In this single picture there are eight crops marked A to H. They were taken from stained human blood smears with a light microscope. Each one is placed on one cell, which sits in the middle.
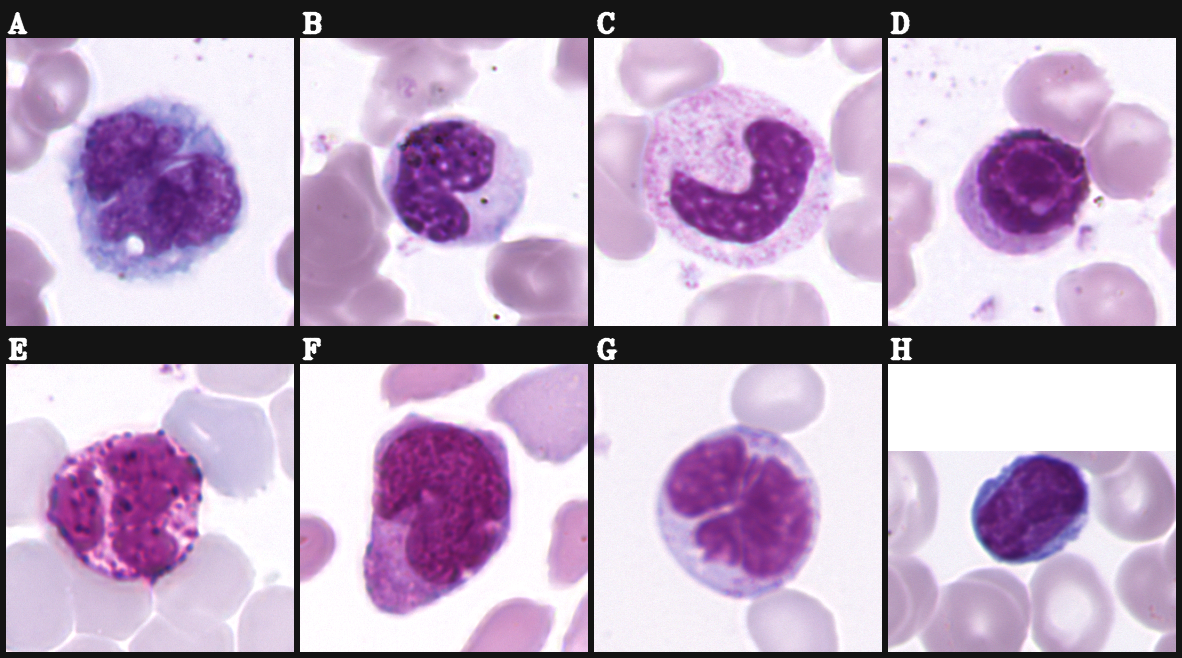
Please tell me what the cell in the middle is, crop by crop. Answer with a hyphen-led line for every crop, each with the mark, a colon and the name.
- A: monocyte
- B: band neutrophil
- C: band neutrophil
- D: plasma cell
- E: basophil
- F: atypical promyelocyte
- G: large granular lymphocyte
- H: typical lymphocyte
